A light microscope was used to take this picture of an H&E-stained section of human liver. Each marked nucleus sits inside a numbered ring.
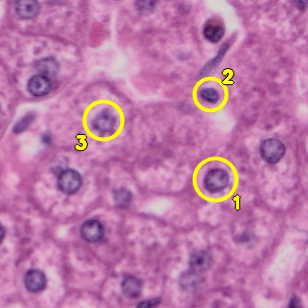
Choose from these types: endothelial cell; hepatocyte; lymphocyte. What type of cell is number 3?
hepatocyte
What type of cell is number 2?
lymphocyte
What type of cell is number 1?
hepatocyte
